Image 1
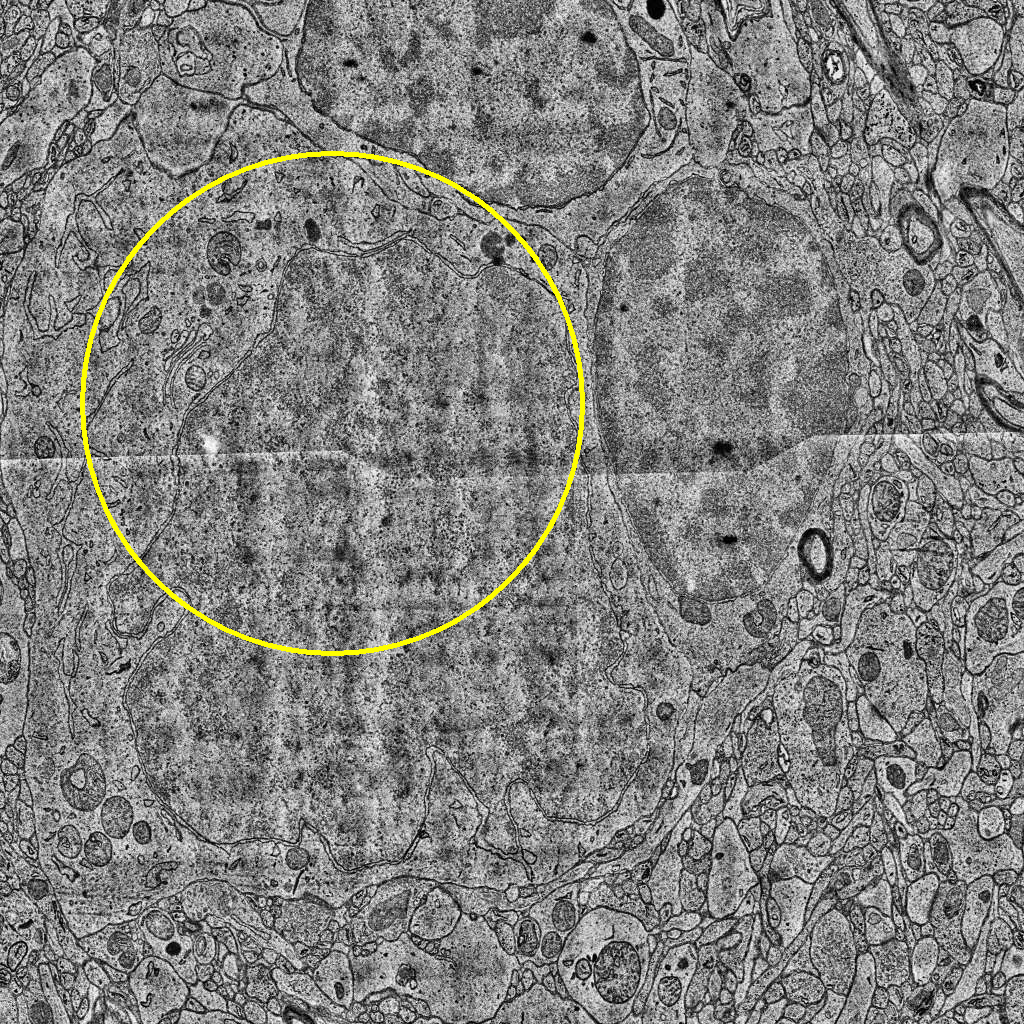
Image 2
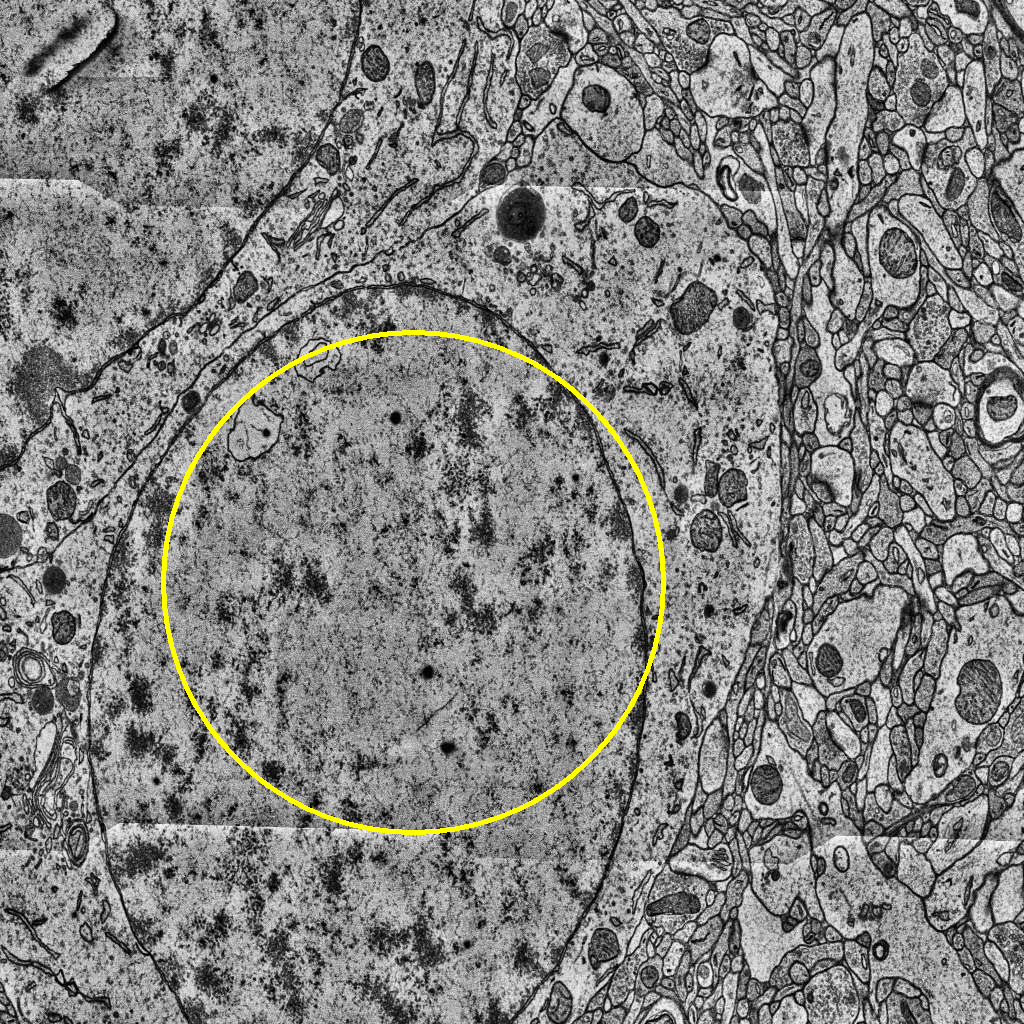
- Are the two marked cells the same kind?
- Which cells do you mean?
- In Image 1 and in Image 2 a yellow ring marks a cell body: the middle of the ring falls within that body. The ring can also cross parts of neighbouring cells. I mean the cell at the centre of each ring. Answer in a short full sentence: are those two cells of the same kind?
No, the cells are of two kinds.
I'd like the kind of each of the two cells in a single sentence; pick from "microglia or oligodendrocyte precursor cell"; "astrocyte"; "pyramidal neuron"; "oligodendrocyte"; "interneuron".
The first picture's cell is an interneuron, and the second picture's cell is a pyramidal neuron.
